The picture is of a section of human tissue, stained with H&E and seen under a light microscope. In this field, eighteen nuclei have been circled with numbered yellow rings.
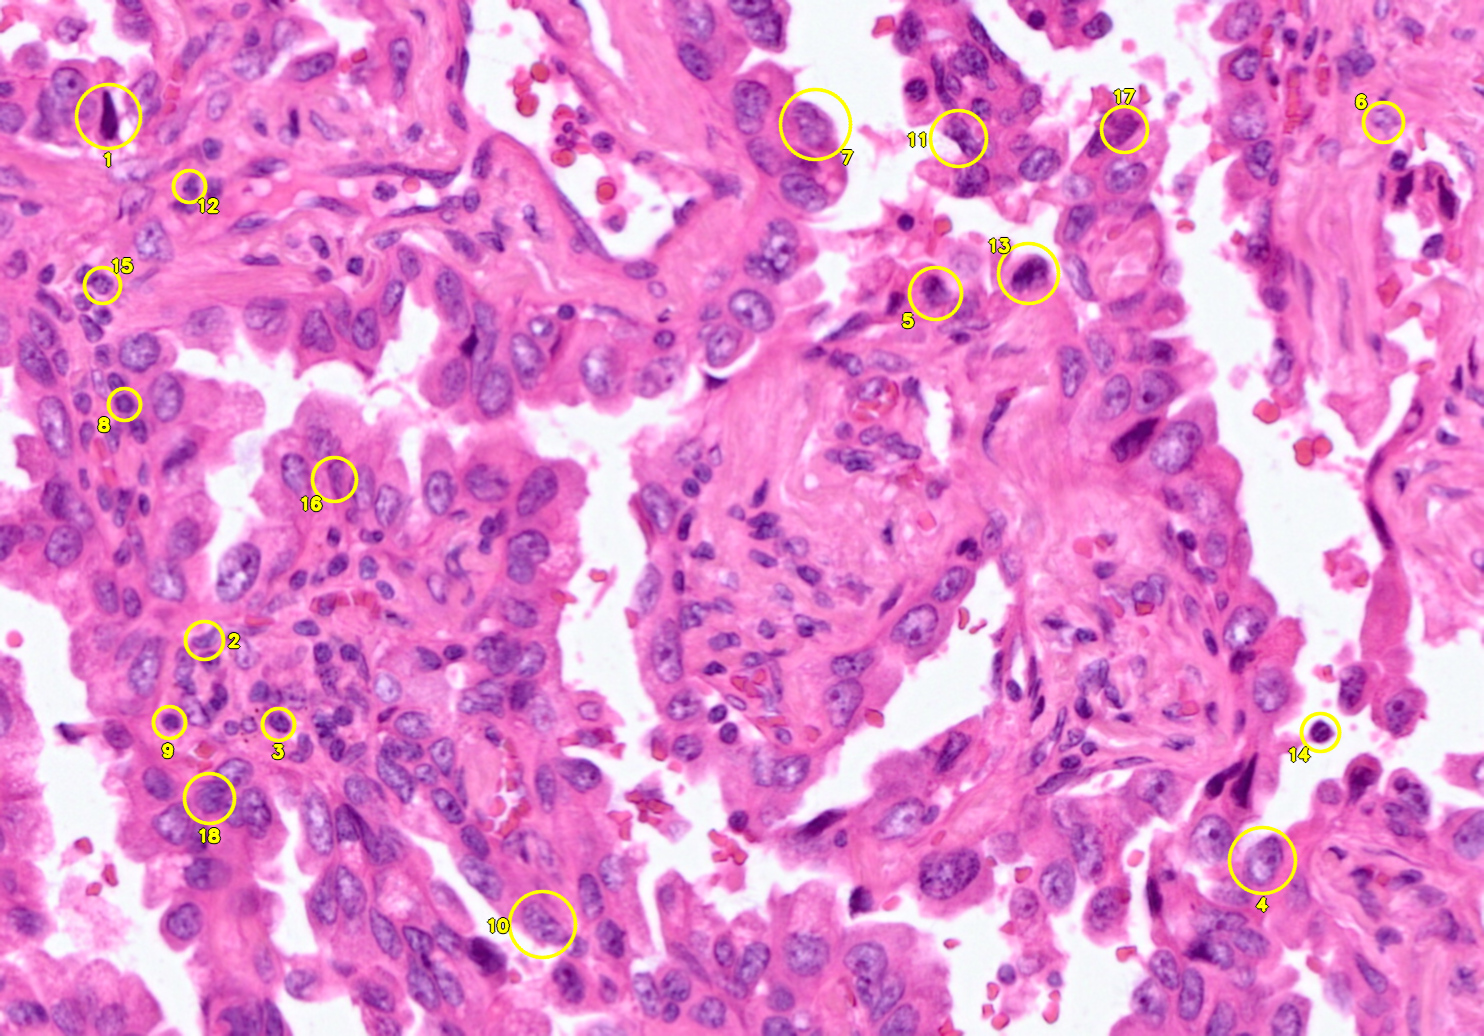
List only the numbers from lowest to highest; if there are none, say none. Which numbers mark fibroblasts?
6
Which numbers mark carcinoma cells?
1, 4, 5, 7, 10, 11, 13, 16, 17, 18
